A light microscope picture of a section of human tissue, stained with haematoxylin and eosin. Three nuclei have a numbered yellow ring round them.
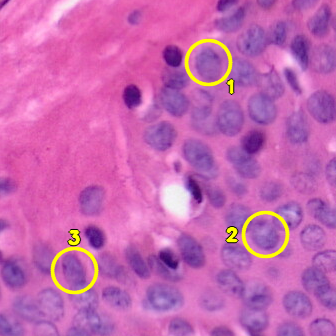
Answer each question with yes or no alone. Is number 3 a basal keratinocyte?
yes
